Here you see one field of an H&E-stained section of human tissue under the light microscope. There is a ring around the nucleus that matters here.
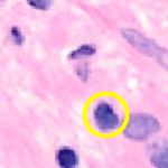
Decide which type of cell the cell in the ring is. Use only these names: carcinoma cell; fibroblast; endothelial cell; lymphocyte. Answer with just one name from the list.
lymphocyte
